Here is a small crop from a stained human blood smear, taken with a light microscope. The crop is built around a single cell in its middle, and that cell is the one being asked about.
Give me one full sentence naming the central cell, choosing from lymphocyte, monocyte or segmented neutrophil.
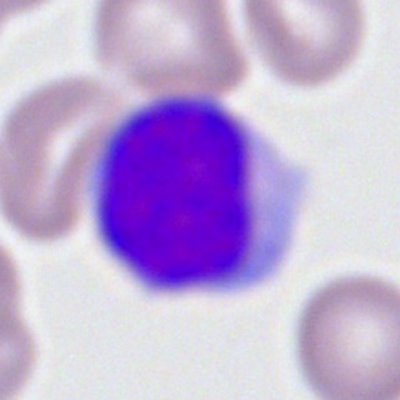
The crop centres on a single cell, and that cell is a lymphocyte.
